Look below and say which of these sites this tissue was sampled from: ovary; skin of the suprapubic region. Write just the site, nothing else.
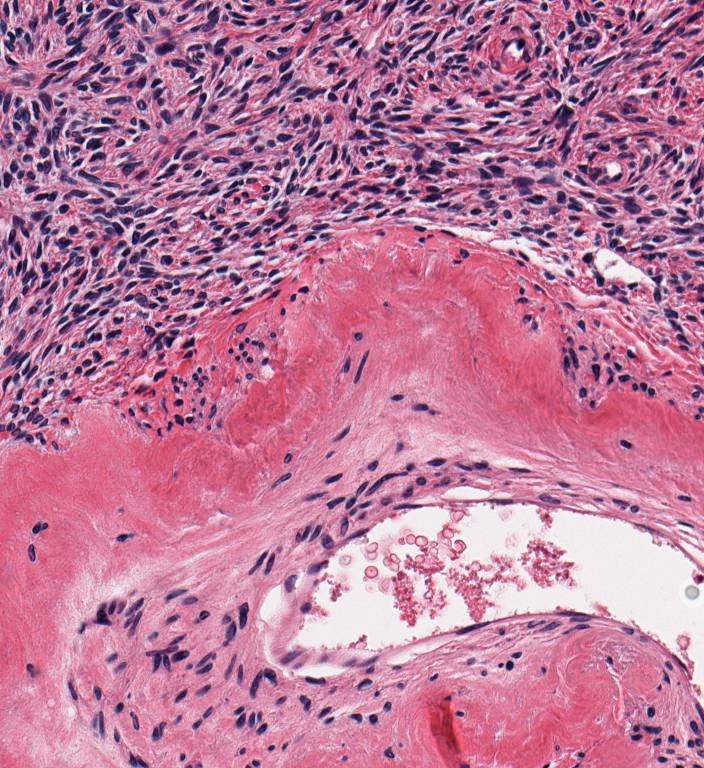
ovary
